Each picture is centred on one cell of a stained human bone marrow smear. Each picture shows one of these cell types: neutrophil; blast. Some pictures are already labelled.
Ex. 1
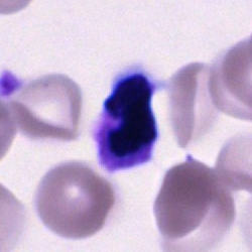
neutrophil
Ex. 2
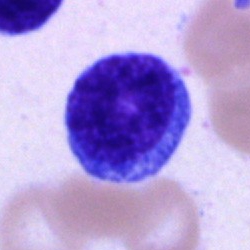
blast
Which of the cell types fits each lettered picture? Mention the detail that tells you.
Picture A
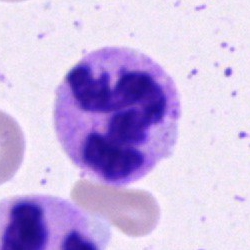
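neutrophil. Evidence: The chromatin is dense, coarsely clumped and dark purple.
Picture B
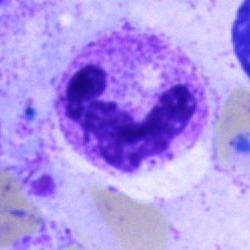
neutrophil. Evidence: The chromatin is dark purple and coarsely clumped.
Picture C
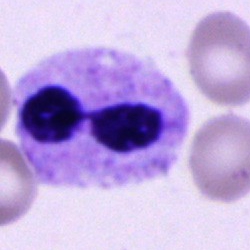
neutrophil. Evidence: Fine purple granules are scattered through the cytoplasm.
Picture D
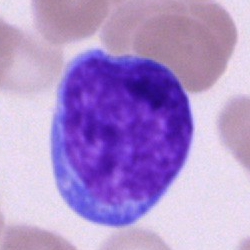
blast. Evidence: The cytoplasm is a scant, deep blue rim.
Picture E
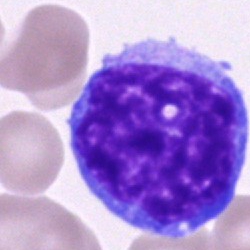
blast. Evidence: The cytoplasm is a thin blue rim that is widest along the top of the cell.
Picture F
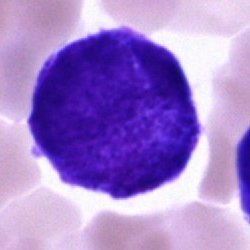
blast. Evidence: The chromatin looks finely stippled rather than coarsely clumped.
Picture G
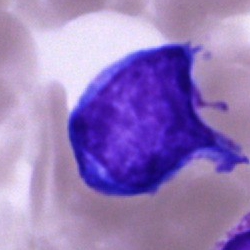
blast. Evidence: The chromatin looks finely textured, with paler mottled patches rather than coarse dark clumps.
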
